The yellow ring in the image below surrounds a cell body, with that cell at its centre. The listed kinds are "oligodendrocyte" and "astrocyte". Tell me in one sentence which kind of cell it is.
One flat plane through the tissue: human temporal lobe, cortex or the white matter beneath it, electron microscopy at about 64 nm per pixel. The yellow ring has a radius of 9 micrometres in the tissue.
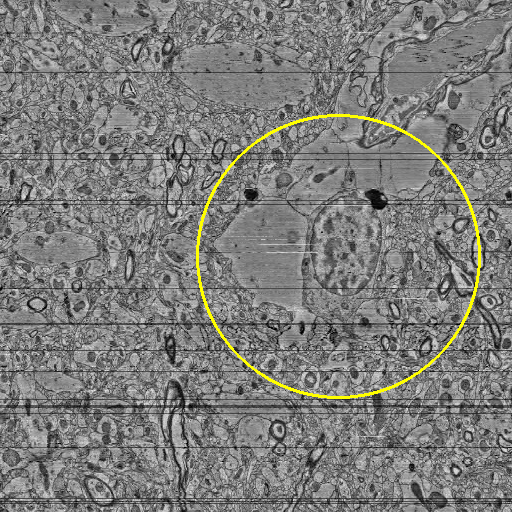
The centre of the ring holds an oligodendrocyte.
